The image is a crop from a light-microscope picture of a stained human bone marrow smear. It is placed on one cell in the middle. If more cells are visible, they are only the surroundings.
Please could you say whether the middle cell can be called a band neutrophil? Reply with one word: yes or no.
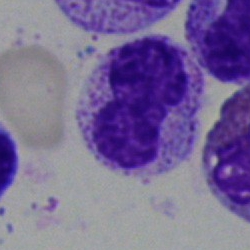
yes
